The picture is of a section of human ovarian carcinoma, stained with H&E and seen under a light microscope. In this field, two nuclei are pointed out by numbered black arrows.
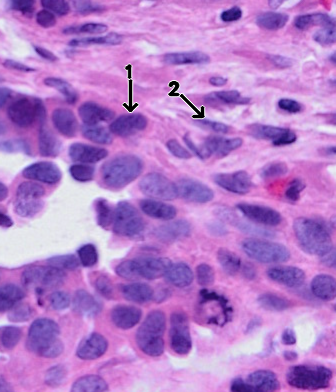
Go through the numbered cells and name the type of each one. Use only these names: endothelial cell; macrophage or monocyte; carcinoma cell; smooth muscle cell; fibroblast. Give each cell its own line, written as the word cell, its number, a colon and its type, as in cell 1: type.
cell 1: carcinoma cell
cell 2: fibroblast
